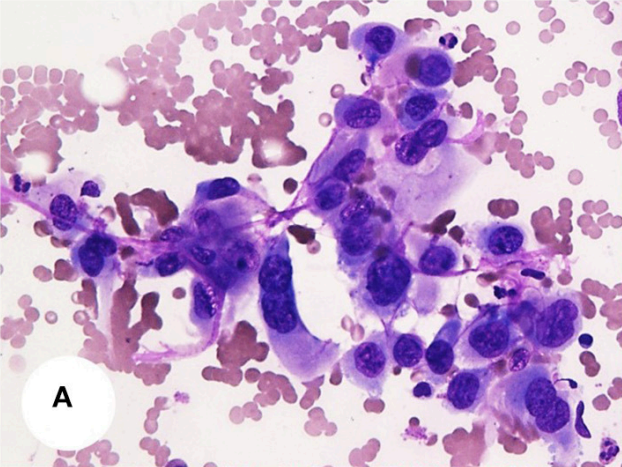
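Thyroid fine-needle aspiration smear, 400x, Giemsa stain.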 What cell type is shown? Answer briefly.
large, atypical, epithelioid cells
